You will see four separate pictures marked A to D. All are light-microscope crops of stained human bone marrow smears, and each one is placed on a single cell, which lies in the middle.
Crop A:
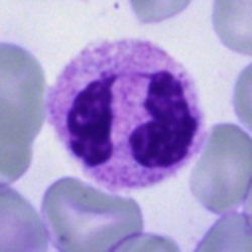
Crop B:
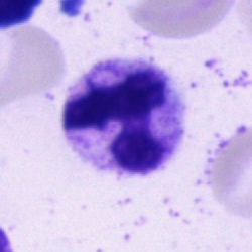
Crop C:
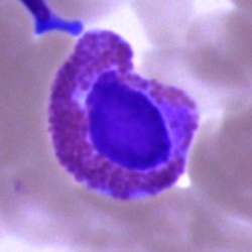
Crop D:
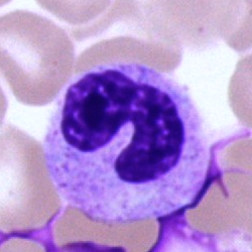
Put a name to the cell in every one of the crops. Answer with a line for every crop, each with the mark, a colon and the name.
A: segmented neutrophil
B: segmented neutrophil
C: eosinophil
D: band neutrophil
